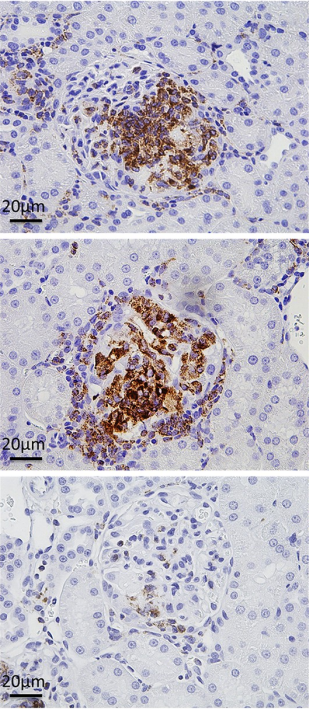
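Each of the three images centres on a round glomerulus surrounded by cross-sectioned tubules lined by cuboidal epithelium with pale pink-grey cytoplasm and round blue nuclei. Inside the glomerular tufts lie many brown-stained cells with granular cytoplasm, densely packed in the upper two images and sparse in the lowest one. The brown cells crowd between the capillary loops and around the tuft periphery, while the tubules around them stay nearly unstained.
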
